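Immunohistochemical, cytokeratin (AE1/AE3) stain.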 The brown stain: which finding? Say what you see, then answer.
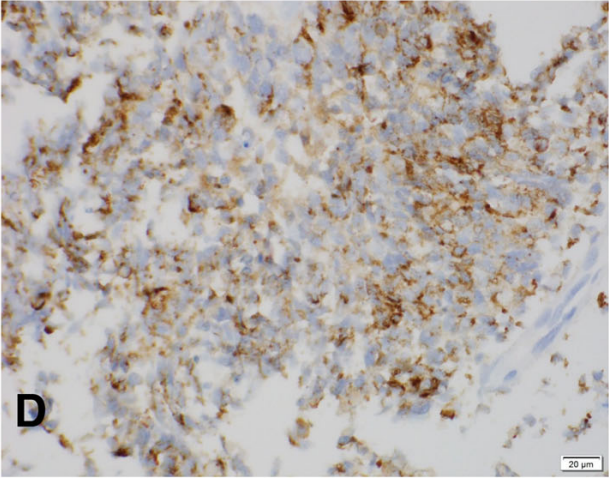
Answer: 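Brown stain appears as small dots and specks within cells. Many nuclei remain blue and unstained. Staining is patchy rather than diffuse.
Dot-like.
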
